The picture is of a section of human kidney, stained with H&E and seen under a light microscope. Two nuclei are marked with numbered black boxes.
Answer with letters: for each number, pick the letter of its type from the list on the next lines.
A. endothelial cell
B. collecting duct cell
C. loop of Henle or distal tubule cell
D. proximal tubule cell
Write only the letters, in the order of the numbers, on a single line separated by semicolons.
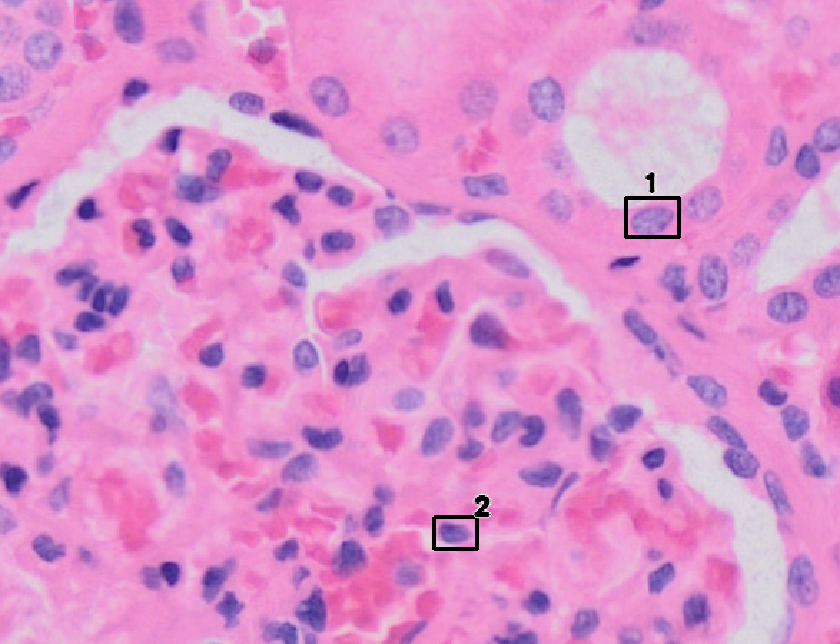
C; A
